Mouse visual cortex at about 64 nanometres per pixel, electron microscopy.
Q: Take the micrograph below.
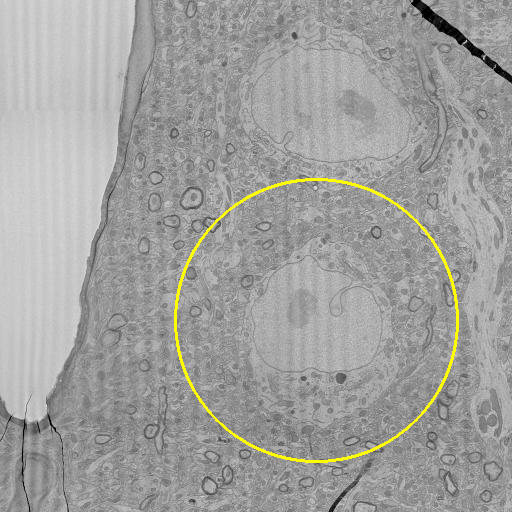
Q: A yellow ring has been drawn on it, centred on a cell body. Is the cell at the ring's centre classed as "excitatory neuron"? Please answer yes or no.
Yes, that is its kind.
